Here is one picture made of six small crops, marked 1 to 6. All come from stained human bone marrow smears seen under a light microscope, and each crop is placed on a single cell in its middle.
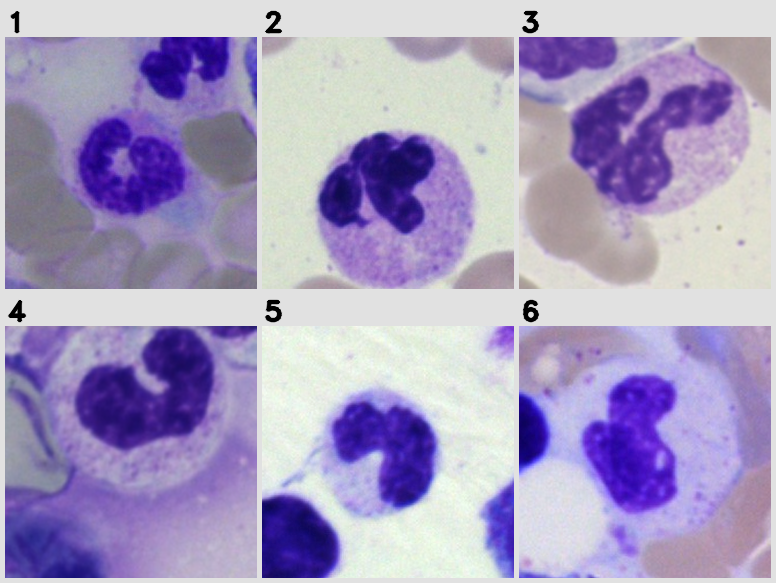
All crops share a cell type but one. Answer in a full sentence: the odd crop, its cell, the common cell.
Only in crop 5 is there a band neutrophil; all other crops show segmented neutrophils.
